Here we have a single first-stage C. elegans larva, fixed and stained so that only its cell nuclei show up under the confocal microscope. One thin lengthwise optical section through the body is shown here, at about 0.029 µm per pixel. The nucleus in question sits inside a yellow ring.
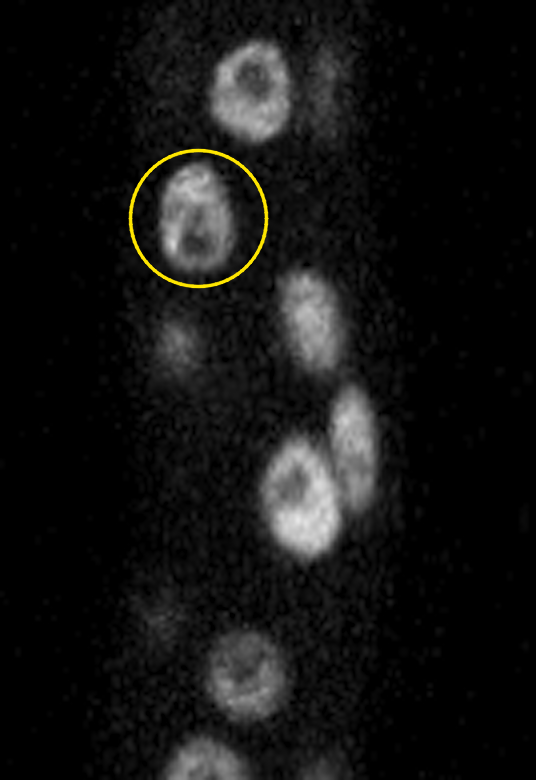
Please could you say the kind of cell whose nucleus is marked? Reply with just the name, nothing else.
hypodermal cell (hyp)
